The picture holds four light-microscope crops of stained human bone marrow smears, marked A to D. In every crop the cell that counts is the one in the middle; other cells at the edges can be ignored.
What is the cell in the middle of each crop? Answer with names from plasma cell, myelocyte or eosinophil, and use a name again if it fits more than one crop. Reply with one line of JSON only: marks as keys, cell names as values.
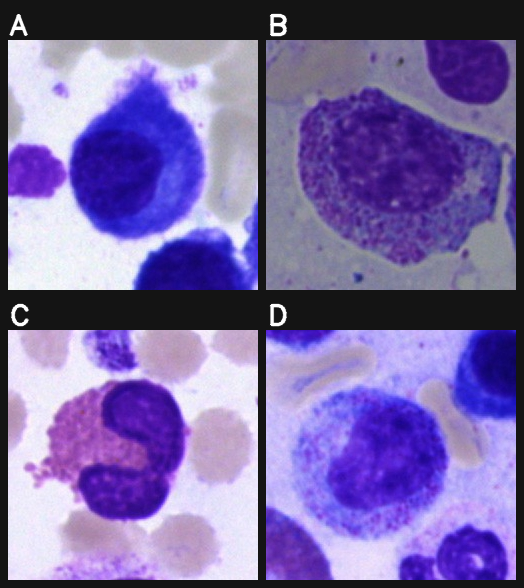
{"A": "plasma cell", "B": "myelocyte", "C": "eosinophil", "D": "myelocyte"}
